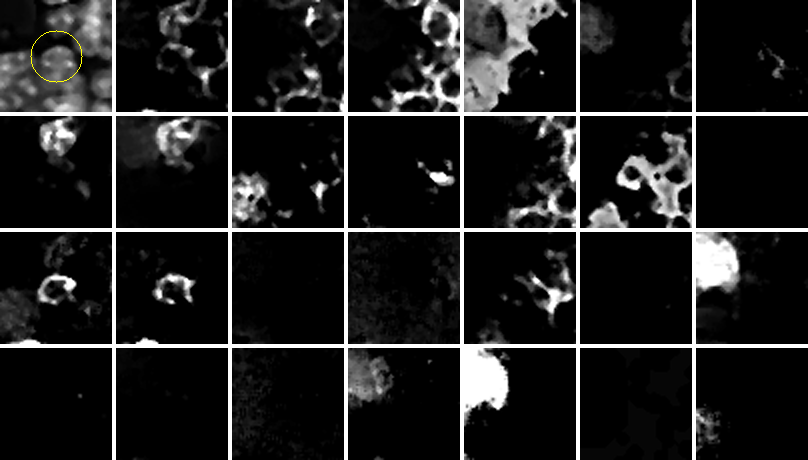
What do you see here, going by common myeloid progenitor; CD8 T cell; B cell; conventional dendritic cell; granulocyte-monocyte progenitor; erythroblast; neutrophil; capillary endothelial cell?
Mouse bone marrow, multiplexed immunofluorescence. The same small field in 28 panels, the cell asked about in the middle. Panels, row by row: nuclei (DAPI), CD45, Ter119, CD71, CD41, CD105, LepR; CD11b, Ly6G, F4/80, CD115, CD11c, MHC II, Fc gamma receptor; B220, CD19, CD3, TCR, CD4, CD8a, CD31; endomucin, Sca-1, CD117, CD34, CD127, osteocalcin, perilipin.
I see a B cell.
